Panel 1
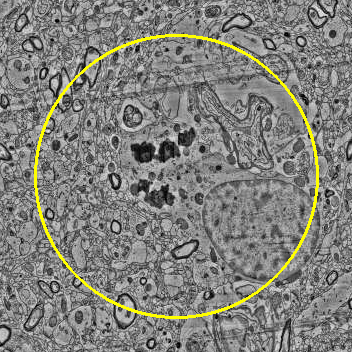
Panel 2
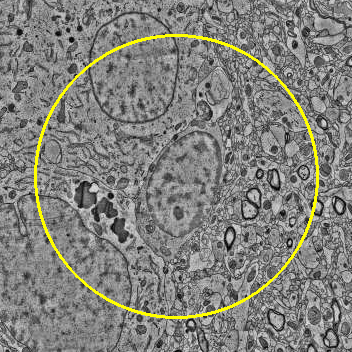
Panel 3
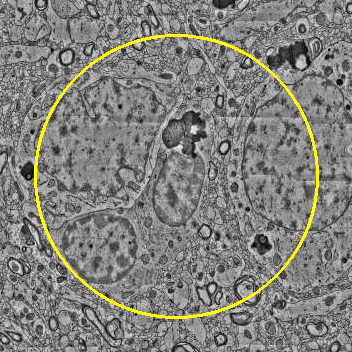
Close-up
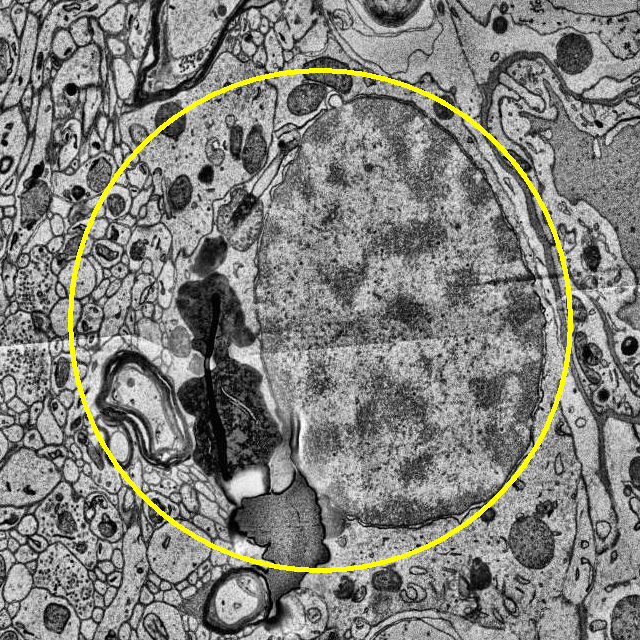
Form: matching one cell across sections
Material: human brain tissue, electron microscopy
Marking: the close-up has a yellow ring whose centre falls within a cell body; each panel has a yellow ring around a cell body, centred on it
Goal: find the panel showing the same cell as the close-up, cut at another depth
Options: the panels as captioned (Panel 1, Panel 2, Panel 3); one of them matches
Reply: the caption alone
Panel 1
